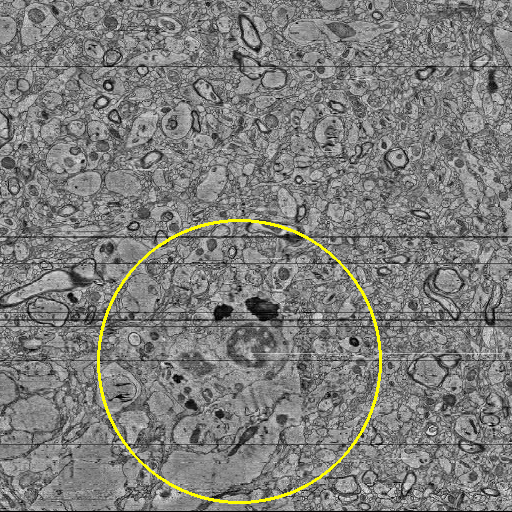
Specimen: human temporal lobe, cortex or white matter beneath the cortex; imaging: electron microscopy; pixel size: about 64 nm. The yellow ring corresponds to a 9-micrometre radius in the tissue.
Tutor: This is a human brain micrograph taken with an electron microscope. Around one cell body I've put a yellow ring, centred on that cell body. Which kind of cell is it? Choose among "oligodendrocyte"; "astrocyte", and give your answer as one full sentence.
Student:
Going by your list, the cell centred in the yellow ring is an oligodendrocyte.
